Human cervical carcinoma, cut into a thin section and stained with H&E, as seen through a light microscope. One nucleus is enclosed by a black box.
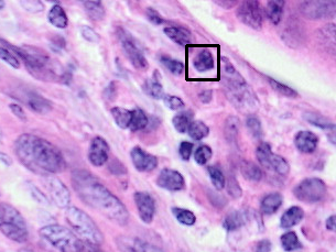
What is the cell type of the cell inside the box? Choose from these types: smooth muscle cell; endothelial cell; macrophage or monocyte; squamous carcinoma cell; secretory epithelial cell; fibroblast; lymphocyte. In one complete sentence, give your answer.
Among the cells in this section, the cell inside the box is a lymphocyte.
